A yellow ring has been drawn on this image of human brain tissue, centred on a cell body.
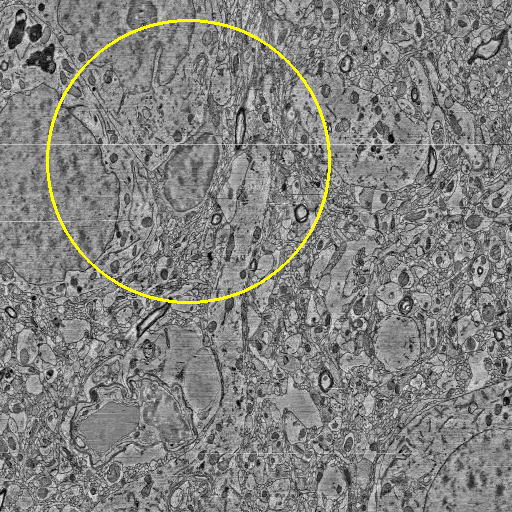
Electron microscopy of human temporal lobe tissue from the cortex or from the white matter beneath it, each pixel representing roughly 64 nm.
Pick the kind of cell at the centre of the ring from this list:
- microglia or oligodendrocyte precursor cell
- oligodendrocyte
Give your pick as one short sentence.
The centre of the ring holds an oligodendrocyte.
